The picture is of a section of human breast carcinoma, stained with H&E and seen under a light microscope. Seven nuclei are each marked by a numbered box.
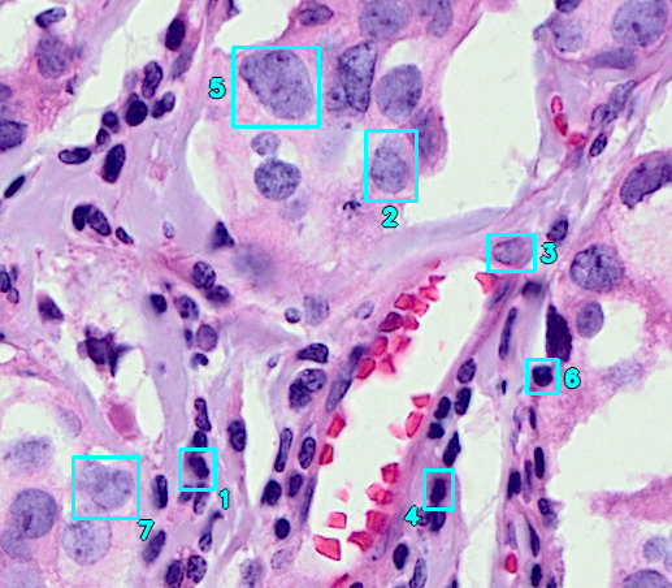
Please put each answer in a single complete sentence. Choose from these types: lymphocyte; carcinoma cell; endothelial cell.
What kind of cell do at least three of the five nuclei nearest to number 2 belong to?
Carcinoma cells account for more than half of the five nuclei nearest to number 2.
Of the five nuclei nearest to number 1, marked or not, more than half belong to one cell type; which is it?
Around number 1, most of the five nearest nuclei are those of lymphocytes.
